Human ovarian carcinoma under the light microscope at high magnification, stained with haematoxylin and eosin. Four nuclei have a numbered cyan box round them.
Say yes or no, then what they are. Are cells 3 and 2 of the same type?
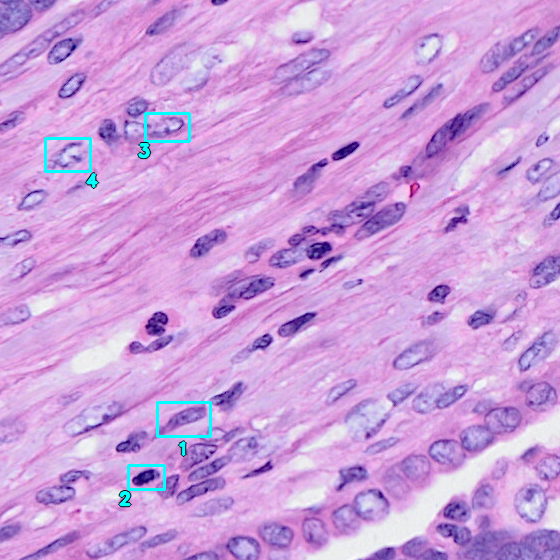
No, a lymphocyte is what cell 2 is, while cell 3 is a fibroblast.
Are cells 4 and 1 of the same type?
Yes, fibroblasts are what cells 4 and 1 both are.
